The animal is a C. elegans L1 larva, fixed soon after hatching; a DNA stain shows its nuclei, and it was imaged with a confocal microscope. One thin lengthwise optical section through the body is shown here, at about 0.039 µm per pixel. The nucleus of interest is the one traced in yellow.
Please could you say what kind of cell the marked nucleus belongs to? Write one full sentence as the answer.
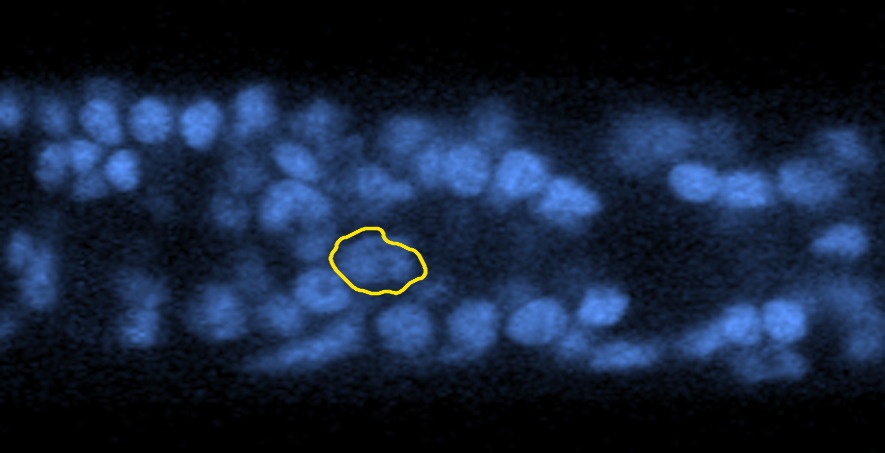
The marked cell is a pharyngeal marginal cell.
